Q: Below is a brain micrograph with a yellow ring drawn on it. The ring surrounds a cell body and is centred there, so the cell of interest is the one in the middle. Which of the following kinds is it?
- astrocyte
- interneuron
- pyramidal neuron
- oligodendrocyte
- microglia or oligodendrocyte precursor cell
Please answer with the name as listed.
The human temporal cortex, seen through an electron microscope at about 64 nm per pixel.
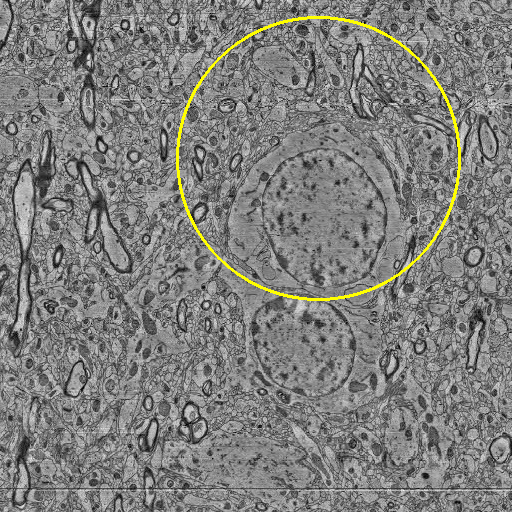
astrocyte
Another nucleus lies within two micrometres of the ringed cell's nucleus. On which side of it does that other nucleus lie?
The other one is below it.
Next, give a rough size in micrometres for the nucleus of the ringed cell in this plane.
Approximately 9 by 8 micrometers in this plane.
